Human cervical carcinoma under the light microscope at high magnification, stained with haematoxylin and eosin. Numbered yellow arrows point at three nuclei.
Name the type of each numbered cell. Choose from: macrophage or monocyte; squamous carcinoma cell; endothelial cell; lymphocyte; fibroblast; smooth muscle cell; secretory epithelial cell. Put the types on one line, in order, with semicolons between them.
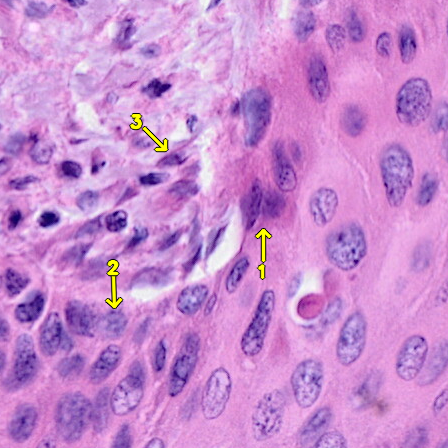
squamous carcinoma cell; squamous carcinoma cell; fibroblast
